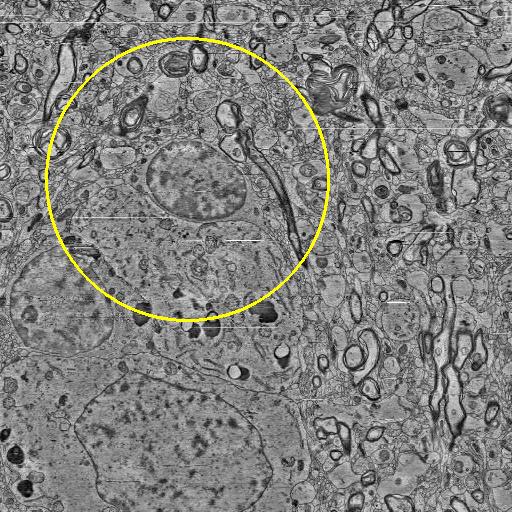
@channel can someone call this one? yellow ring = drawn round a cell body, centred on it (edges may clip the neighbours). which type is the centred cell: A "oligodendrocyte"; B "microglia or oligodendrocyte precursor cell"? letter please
A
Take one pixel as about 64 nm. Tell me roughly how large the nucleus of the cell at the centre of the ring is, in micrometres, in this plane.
The nucleus works out at approximately 6 by 5 micrometres in this plane.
